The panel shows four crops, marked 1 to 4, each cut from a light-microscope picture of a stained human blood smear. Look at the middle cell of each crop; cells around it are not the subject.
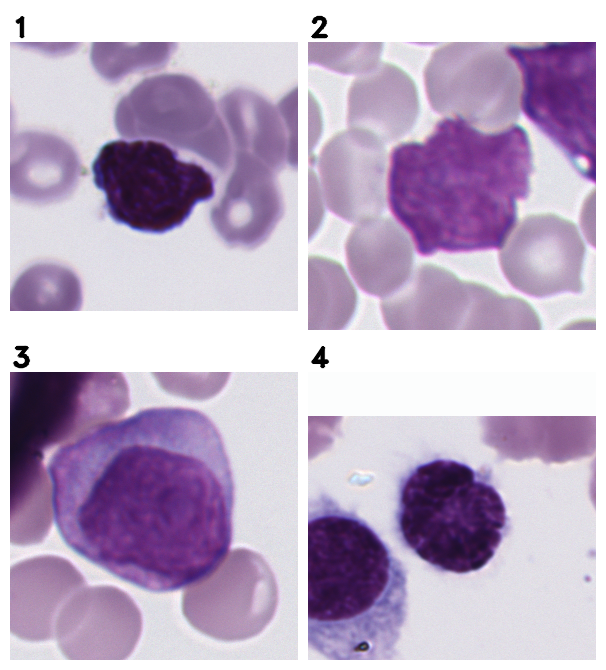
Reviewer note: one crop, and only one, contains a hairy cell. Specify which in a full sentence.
Of the crops given, a hairy cell is found in crop 4.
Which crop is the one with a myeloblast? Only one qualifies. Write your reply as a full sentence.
Of the cells presented, the one in crop 1 is a myeloblast.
